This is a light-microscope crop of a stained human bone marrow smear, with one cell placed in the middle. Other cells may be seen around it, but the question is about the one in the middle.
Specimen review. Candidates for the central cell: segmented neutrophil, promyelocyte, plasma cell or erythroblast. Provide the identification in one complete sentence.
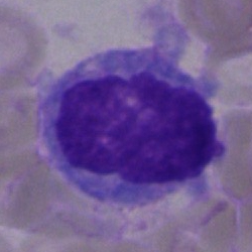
In the crop, the cell of interest at the centre is a promyelocyte.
